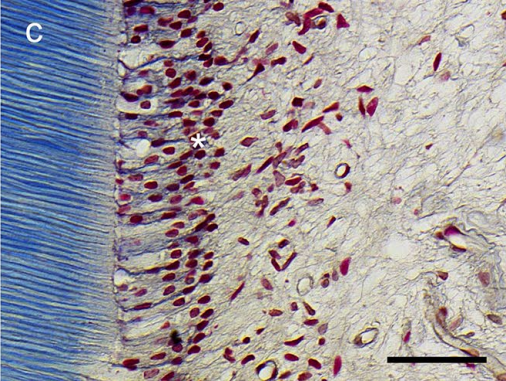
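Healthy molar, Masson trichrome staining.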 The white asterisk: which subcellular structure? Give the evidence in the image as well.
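The white asterisk sits among densely packed dark red oval bodies. These lie at the end of the columnar cells facing away from the blue tissue. The answer: nuclei.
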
